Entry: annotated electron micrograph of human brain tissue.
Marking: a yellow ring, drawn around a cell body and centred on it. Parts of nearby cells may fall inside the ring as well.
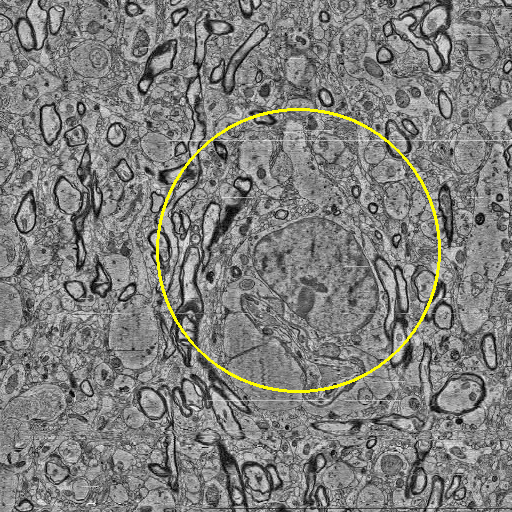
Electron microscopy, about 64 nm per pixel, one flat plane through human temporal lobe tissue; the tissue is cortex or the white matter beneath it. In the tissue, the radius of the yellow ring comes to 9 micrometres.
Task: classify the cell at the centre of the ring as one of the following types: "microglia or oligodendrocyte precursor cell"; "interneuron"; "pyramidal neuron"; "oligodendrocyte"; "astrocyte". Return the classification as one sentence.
The marked cell is classified as a microglial cell or oligodendrocyte precursor cell.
